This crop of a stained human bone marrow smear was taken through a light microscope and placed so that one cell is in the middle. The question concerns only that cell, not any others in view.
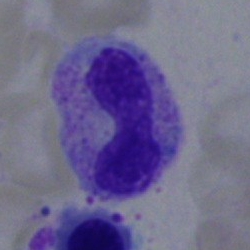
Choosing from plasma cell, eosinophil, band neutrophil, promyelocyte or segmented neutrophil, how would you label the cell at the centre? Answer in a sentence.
The middle of this crop is occupied by a band neutrophil.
